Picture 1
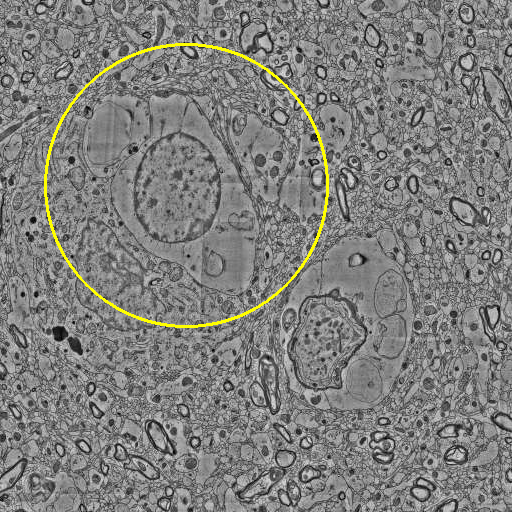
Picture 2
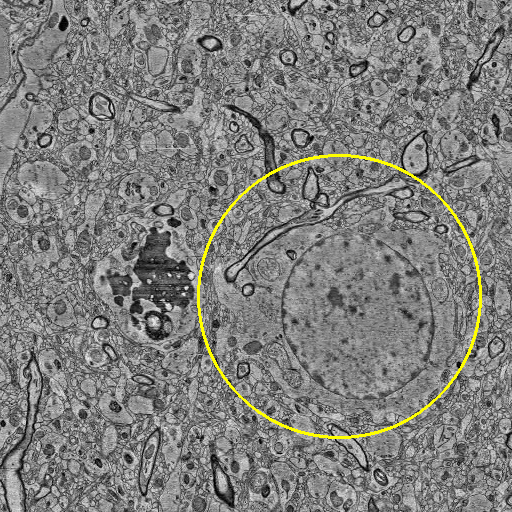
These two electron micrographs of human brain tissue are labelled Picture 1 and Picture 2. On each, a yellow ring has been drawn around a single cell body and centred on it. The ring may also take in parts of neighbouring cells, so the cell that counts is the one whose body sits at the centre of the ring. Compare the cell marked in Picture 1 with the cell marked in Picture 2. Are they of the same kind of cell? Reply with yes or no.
yes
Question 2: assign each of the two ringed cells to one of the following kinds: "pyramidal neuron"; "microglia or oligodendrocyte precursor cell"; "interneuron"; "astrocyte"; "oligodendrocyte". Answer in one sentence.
Each one of the two ringed cells is an astrocyte.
